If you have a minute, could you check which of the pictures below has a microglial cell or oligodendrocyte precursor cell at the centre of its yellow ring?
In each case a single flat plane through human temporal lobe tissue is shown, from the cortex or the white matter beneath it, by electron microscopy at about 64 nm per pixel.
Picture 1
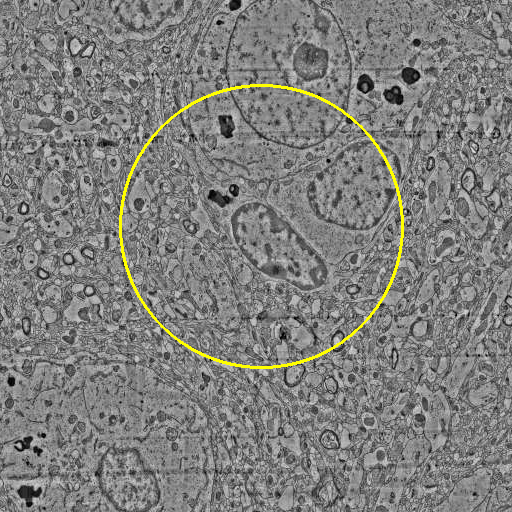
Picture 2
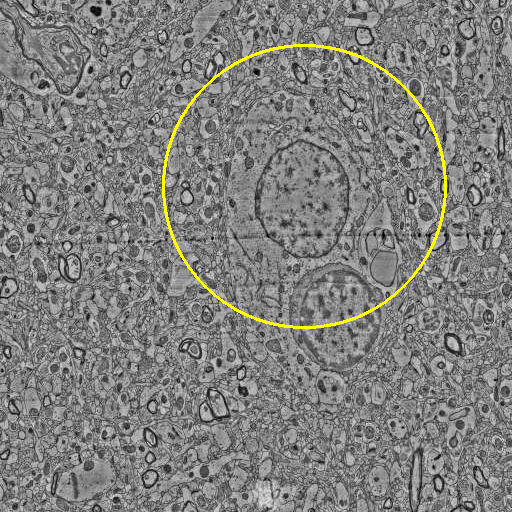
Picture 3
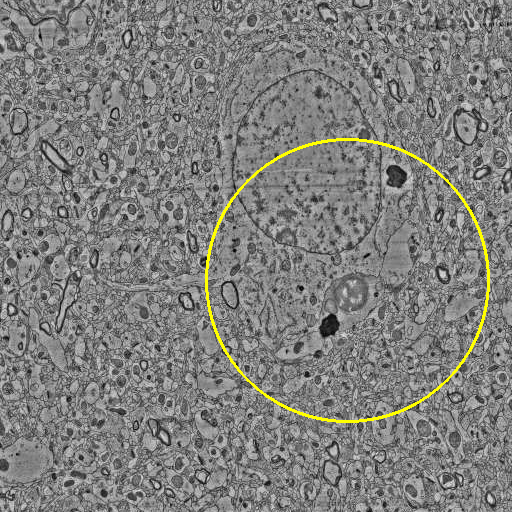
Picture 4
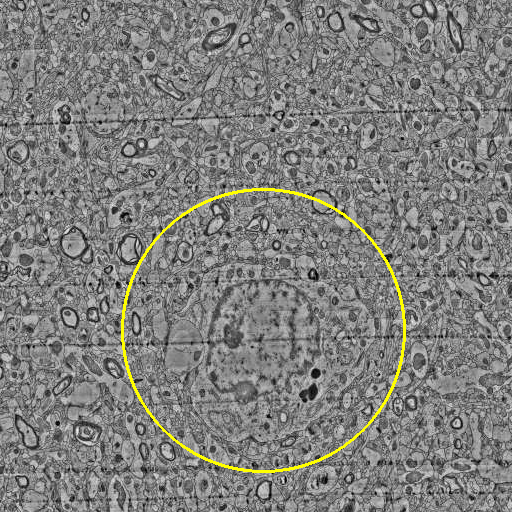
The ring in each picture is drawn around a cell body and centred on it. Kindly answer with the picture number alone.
1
